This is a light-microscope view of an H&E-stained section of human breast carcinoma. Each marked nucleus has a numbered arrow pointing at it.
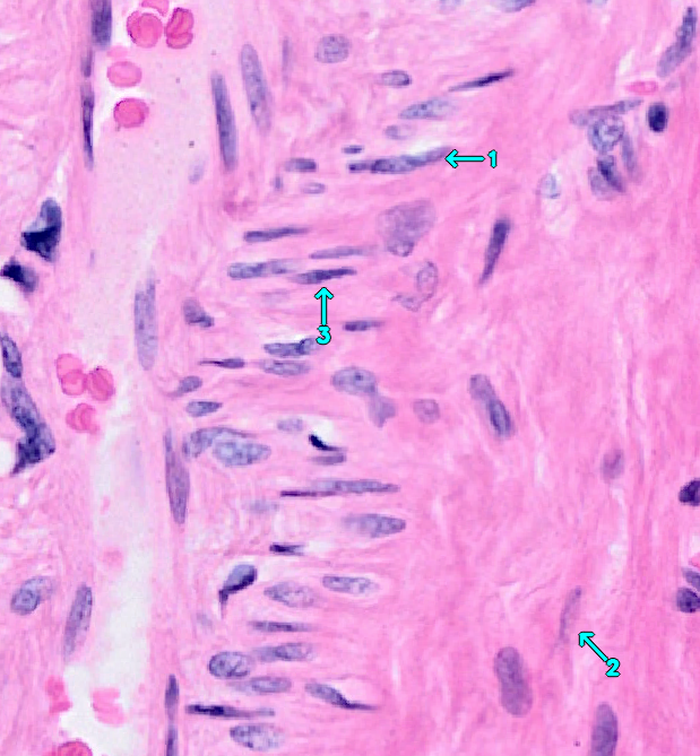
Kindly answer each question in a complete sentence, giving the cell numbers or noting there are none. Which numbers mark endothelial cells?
The cells 1 and 3 in this section are endothelial cells.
